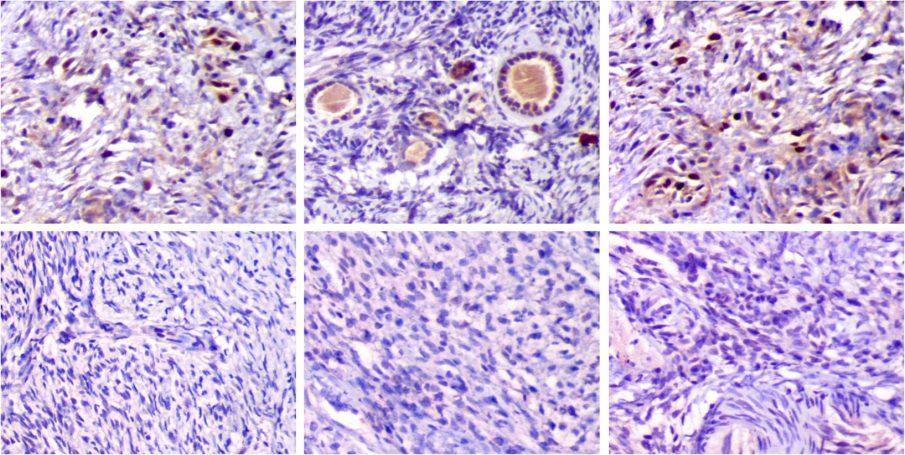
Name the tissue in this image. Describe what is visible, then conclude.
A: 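Densely packed spindle-shaped cells with elongated nuclei form a whorled stroma.
Ovaries.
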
